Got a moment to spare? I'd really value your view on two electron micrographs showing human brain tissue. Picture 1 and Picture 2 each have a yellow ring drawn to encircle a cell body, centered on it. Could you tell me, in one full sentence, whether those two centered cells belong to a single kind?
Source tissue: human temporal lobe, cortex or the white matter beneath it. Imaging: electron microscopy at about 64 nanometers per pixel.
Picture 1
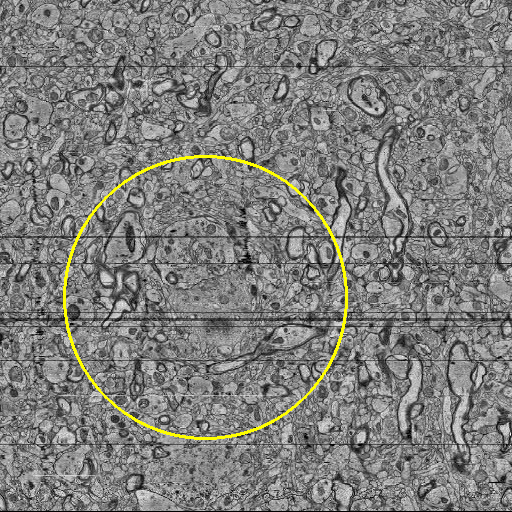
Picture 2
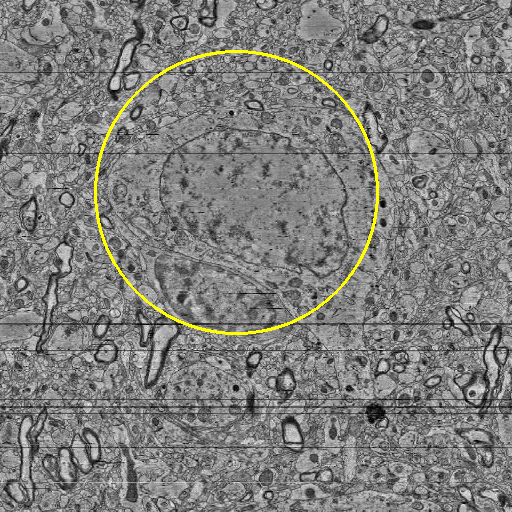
No, the two centered cells in Picture 1 and Picture 2 are of two kinds.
